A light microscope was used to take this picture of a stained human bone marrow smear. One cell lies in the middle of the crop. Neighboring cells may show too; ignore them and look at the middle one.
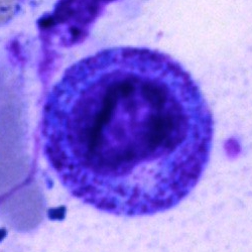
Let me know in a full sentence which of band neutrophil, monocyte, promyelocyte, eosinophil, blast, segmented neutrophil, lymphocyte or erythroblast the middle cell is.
The crop shows a promyelocyte in its centre.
